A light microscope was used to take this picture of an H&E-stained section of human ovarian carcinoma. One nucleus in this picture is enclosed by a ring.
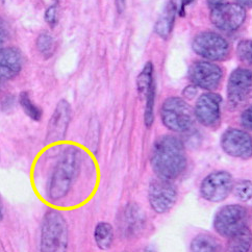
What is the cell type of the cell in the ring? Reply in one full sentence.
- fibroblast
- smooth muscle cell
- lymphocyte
The cell in the ring is a fibroblast.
